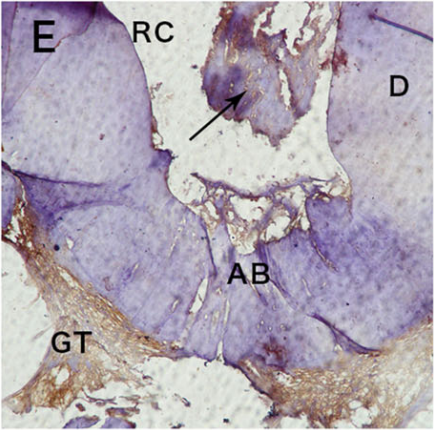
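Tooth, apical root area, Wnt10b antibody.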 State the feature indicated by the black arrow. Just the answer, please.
mineralized tissue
